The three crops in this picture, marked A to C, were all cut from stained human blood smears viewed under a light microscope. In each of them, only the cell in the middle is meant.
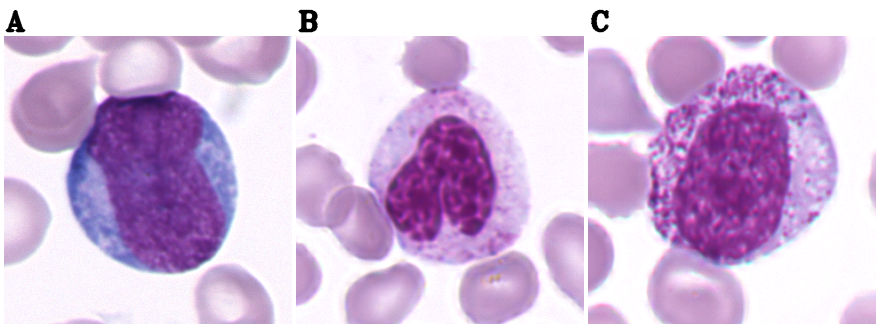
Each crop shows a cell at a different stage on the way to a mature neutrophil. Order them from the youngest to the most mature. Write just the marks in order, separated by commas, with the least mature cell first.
A, C, B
